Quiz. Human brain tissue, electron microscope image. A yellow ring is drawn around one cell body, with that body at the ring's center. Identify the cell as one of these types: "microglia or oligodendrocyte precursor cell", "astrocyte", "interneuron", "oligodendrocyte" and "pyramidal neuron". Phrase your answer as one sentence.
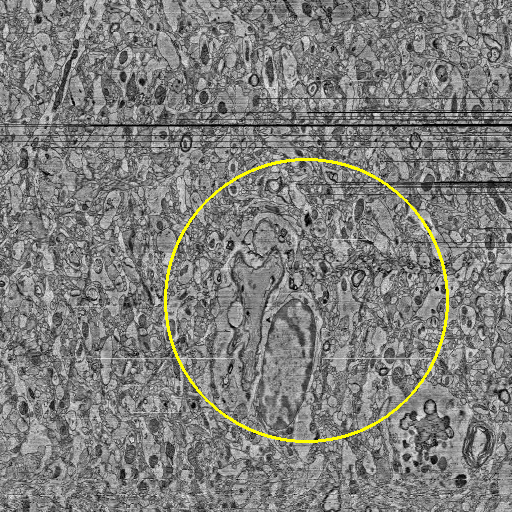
At the center of the ring sits a microglial cell or oligodendrocyte precursor cell.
